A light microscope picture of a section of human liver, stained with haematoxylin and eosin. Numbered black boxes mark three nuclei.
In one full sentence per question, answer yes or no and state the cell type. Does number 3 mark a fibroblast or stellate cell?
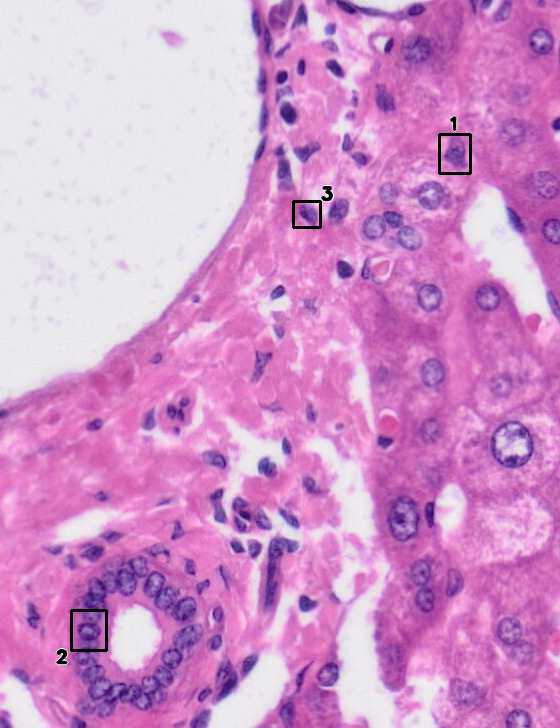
Yes, with respect to number 3, the cell is a fibroblast or stellate cell.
